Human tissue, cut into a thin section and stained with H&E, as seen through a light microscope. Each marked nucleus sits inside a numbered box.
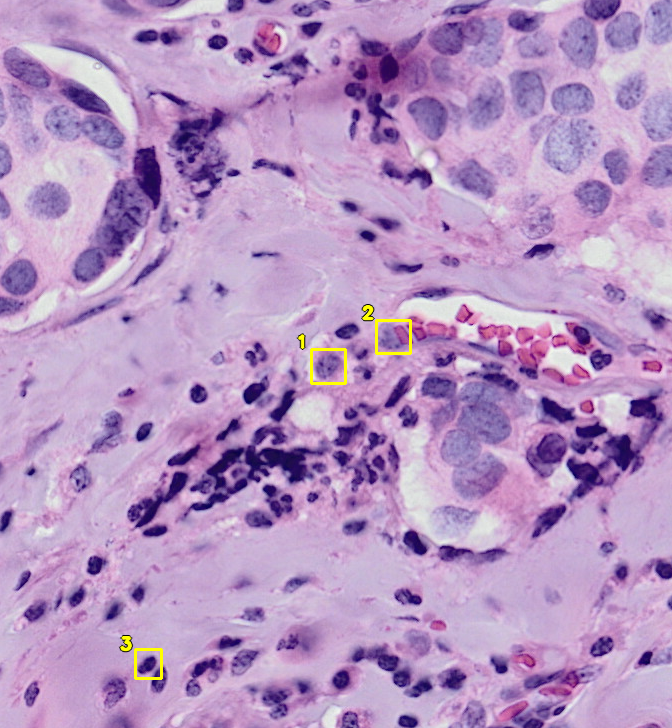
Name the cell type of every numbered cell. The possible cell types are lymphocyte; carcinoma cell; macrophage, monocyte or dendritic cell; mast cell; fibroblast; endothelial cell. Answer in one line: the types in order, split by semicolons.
mast cell; endothelial cell; lymphocyte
